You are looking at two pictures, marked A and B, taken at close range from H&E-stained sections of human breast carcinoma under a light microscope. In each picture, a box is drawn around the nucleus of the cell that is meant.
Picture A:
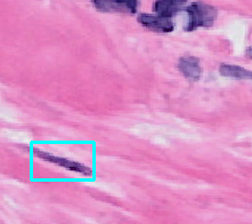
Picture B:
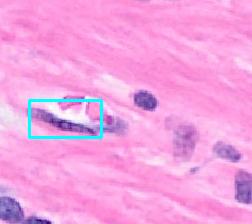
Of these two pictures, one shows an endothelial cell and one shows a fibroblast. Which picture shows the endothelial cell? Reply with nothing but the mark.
B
